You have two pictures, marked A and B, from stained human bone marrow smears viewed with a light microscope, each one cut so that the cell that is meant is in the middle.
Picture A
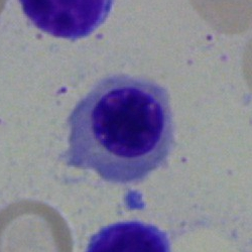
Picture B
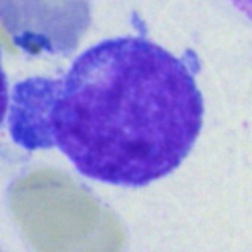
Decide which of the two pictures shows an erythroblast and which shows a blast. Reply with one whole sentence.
In picture A the cell is an erythroblast; in picture B, a blast.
